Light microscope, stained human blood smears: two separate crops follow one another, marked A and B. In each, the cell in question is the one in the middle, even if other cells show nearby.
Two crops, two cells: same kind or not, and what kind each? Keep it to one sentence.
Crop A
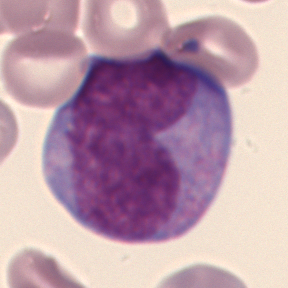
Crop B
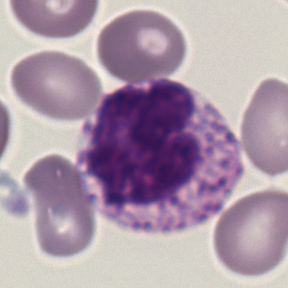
No, within crop A lies a promyelocyte, and within crop B lies a basophil.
